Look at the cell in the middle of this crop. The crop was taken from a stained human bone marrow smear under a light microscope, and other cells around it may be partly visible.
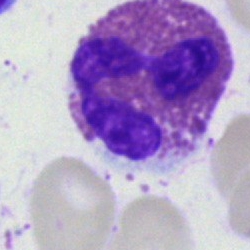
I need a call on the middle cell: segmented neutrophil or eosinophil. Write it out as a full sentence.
Framed in the middle of the crop is an eosinophil.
